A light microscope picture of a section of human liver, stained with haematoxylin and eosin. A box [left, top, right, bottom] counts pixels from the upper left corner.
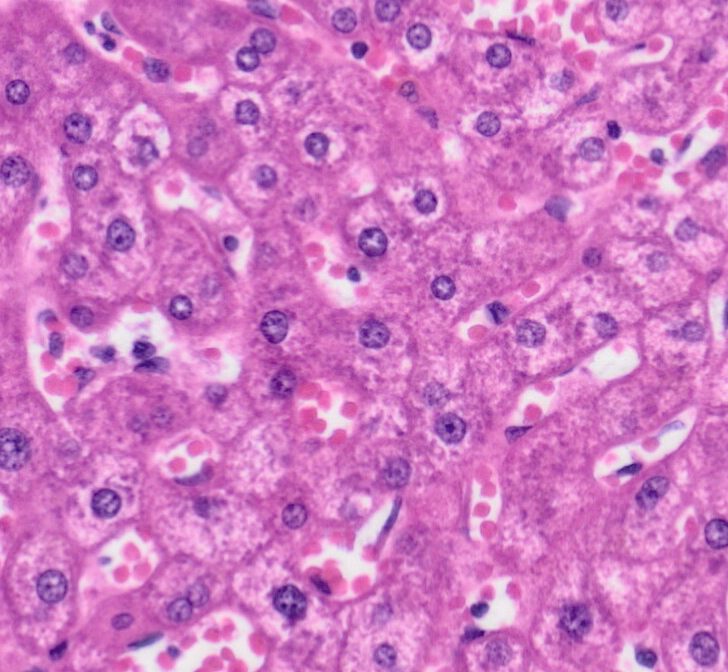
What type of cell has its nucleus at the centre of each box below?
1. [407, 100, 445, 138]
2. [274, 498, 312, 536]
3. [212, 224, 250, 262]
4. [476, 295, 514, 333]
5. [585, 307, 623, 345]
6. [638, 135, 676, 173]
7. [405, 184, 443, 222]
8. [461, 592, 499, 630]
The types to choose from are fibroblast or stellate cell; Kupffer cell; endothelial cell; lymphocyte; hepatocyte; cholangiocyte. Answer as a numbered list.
1. endothelial cell
2. hepatocyte
3. lymphocyte
4. endothelial cell
5. hepatocyte
6. lymphocyte
7. hepatocyte
8. lymphocyte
